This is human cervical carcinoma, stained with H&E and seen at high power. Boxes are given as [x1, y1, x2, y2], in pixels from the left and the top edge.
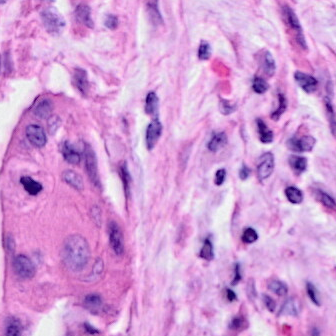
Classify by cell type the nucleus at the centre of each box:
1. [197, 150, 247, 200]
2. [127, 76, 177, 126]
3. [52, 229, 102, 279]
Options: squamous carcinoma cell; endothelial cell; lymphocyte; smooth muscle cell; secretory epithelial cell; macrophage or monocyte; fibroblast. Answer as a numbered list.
1. lymphocyte
2. lymphocyte
3. squamous carcinoma cell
